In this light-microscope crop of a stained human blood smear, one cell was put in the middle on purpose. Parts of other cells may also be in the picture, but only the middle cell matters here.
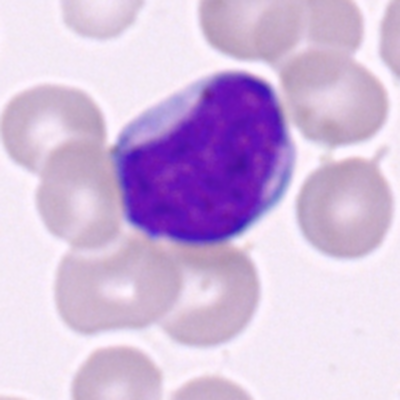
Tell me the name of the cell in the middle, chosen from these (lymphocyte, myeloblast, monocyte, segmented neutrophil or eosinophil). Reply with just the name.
myeloblast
